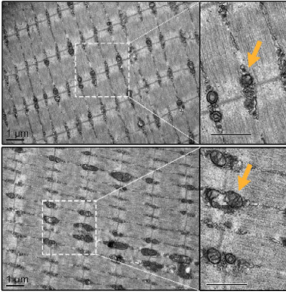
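Longitudinally sectioned skeletal muscle fibres show regularly repeating sarcomeres with dark transverse Z lines running across parallel myofibrils. Dark, elongated mitochondria lie between the myofibrils, mostly in pairs on either side of the Z lines. At the higher magnification their internal folded membranes are visible.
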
